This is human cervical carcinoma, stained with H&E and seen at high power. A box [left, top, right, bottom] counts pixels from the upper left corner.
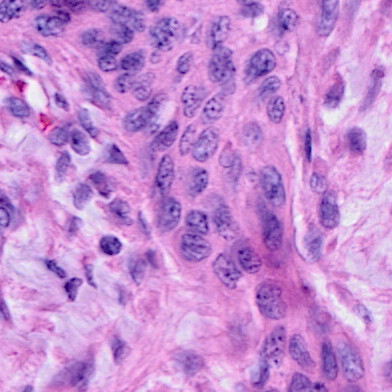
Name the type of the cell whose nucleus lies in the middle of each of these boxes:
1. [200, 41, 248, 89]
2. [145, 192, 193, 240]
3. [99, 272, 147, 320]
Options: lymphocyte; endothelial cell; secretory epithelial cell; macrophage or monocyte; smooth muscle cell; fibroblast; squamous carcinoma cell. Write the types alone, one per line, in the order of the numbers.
squamous carcinoma cell
squamous carcinoma cell
fibroblast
